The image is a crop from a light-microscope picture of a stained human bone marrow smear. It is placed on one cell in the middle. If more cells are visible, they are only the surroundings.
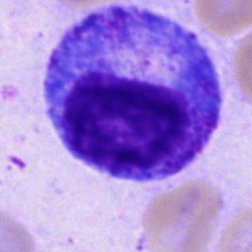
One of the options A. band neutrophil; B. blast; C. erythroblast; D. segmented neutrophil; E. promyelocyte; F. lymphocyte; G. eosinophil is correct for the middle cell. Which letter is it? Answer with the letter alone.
E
